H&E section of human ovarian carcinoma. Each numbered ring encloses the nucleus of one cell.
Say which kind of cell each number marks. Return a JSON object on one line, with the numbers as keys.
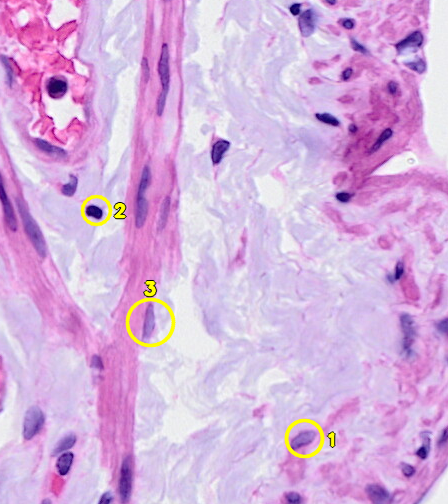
{"1": "smooth muscle cell", "2": "lymphocyte", "3": "smooth muscle cell"}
